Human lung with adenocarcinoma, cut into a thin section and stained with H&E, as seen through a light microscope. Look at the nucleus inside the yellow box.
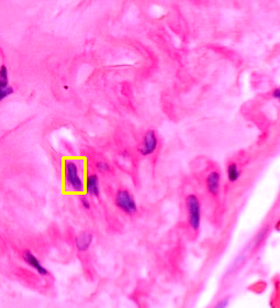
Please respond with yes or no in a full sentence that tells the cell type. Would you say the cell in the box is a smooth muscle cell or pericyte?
Yes, correct on this one: the cell in the box is a smooth muscle cell or pericyte.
